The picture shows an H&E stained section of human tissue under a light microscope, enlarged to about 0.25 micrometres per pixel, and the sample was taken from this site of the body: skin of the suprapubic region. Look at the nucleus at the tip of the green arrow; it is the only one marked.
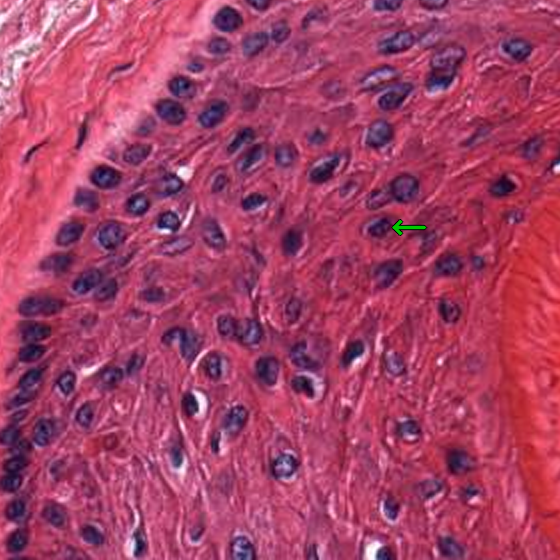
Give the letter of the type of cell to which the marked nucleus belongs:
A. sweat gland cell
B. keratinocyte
B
